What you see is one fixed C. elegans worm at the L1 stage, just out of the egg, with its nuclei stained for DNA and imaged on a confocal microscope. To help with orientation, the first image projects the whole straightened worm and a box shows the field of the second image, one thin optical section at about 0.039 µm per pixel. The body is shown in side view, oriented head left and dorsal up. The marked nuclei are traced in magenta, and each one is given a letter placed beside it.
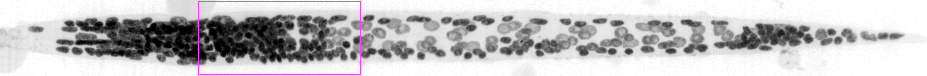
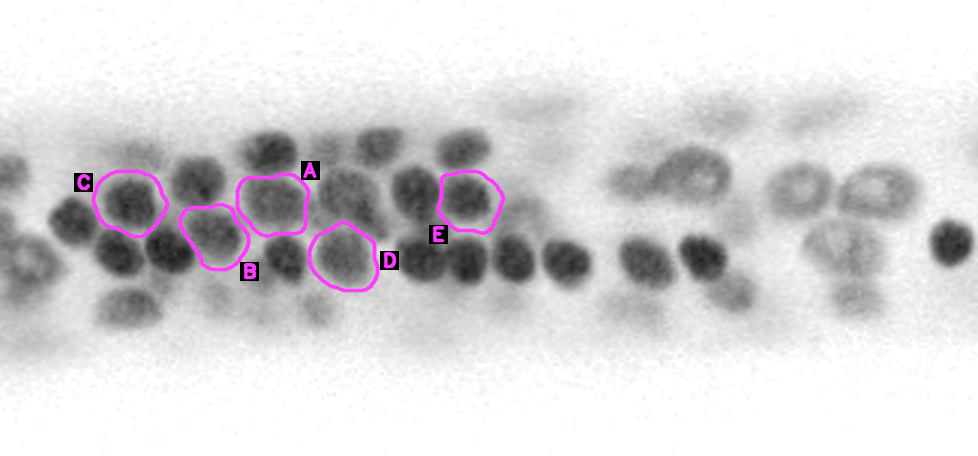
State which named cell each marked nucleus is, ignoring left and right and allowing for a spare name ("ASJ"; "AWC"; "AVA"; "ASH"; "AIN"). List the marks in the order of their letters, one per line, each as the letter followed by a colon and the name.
A: ASH
B: AWC
C: AVA
D: ASJ
E: AIN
